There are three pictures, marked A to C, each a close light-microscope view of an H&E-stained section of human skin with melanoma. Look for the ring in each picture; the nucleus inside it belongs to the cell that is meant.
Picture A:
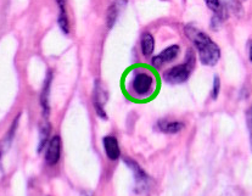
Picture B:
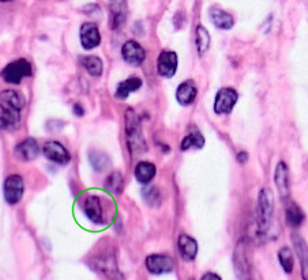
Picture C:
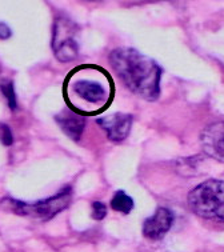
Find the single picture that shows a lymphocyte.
C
